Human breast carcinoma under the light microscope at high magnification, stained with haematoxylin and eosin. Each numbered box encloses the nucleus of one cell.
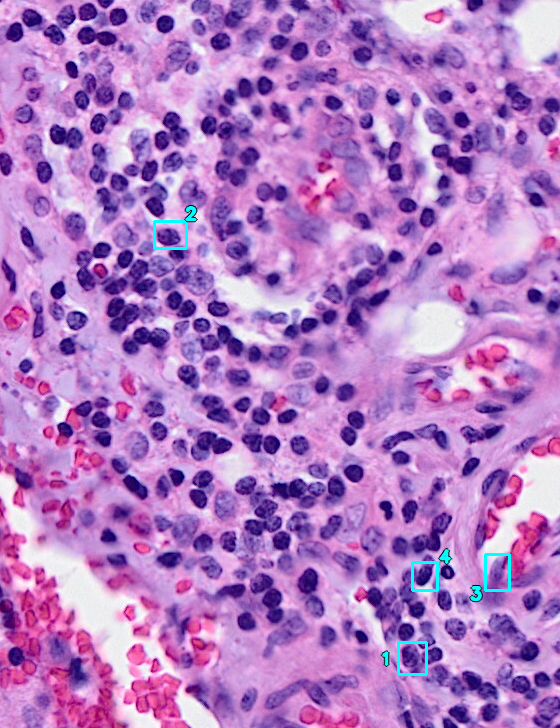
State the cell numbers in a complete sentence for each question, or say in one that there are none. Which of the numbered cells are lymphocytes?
The cells numbered 1, 2 and 4 are of one kind: lymphocytes.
